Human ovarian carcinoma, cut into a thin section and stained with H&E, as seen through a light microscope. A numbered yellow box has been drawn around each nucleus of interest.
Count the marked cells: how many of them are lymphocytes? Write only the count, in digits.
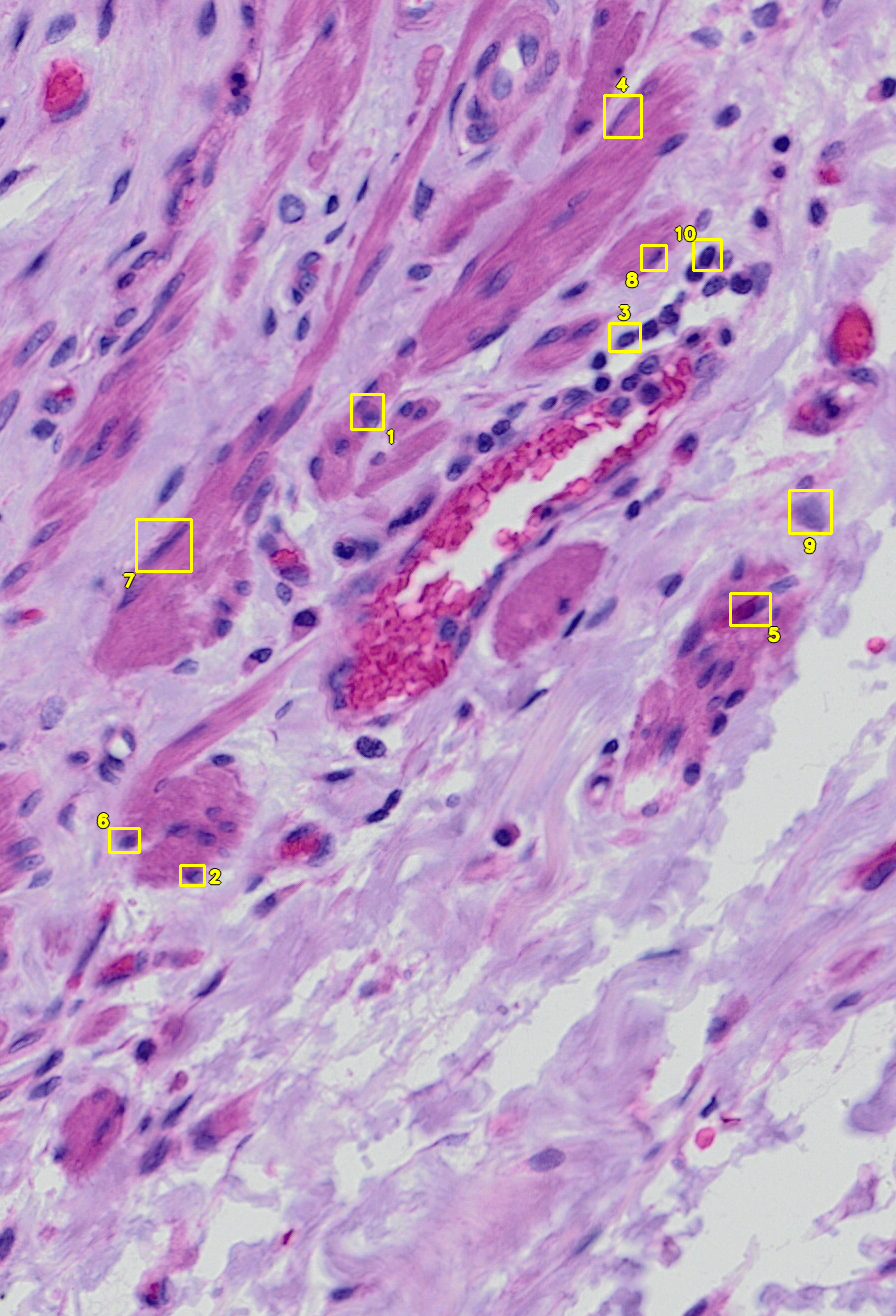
2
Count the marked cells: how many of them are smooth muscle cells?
6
